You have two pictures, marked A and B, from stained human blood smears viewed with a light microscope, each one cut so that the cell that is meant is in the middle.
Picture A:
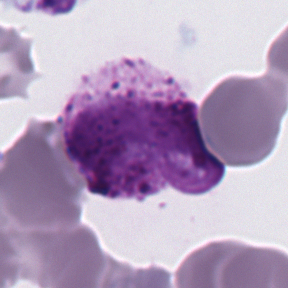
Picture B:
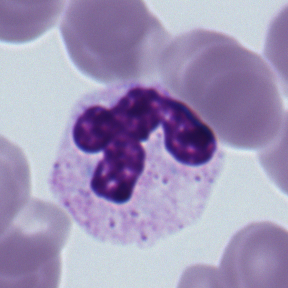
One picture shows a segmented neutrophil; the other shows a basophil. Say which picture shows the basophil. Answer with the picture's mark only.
A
